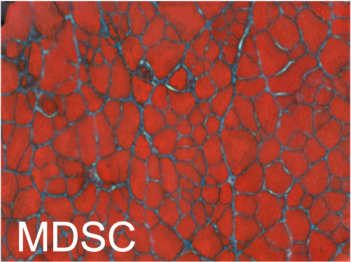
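This cross-section of skeletal muscle shows tightly packed red-stained myofibers with polygonal outlines and somewhat variable sizes. Each fiber is outlined by a thin blue-green band of collagenous tissue, which forms a continuous network between the fibers.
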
